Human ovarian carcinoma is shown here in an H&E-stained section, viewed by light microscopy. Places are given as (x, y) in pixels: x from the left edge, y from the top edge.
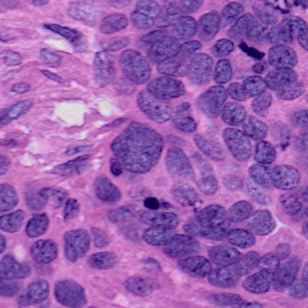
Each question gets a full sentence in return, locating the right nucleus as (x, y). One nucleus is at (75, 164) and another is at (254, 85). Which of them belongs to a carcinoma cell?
The nucleus contained in a carcinoma cell is the one at (254, 85).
